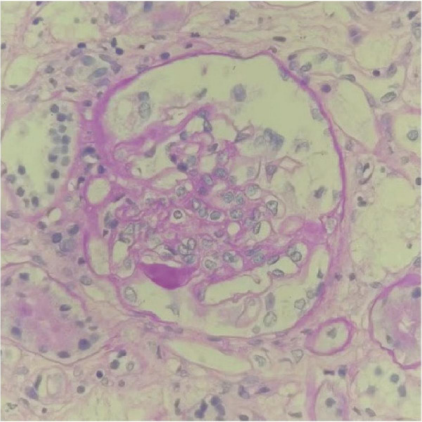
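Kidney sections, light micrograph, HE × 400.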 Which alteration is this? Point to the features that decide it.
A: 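A glomerulus with mostly open capillary loops. A small dense magenta deposit confined to one segment of the tuft at its lower edge.
Segmental glomerulosclerosis.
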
